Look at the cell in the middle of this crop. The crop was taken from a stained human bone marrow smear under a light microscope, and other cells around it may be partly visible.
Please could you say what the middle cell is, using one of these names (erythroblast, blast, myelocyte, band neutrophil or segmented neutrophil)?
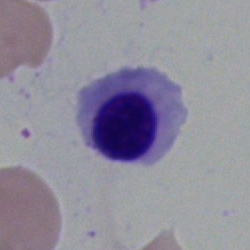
erythroblast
